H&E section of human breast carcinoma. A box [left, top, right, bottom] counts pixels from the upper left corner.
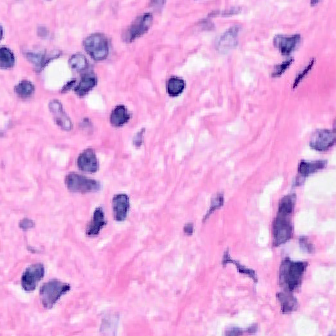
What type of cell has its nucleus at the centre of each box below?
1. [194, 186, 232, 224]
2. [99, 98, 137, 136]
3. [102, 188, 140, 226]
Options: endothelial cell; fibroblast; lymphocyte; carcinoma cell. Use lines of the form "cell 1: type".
cell 1: fibroblast
cell 2: lymphocyte
cell 3: lymphocyte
